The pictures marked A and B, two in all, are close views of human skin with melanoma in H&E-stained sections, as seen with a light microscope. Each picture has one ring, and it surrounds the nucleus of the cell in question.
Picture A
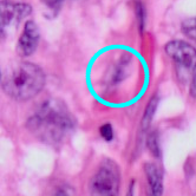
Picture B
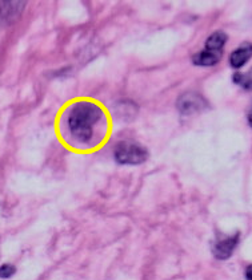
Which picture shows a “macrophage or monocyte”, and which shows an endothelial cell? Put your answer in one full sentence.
Picture A is of an endothelial cell, and picture B is of a “macrophage or monocyte”.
